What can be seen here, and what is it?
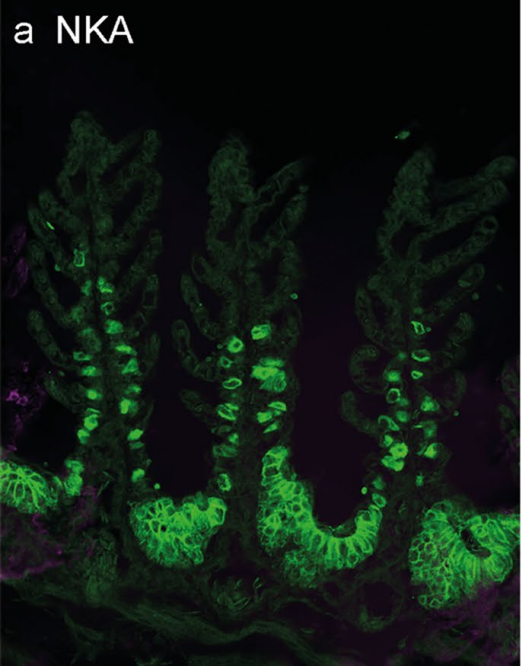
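Finger-like gill projections with many thin side branches rise from a common base; within them, isolated rounded cells glow brightly green, scattered singly along the axis of each projection. At the base, between the projections, large compact masses of tightly packed polygonal cells are intensely green with their outlines sharply marked. The scattered cells are single ionocytes of the gill filaments and the basal masses are follicular cells of the gill septum.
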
